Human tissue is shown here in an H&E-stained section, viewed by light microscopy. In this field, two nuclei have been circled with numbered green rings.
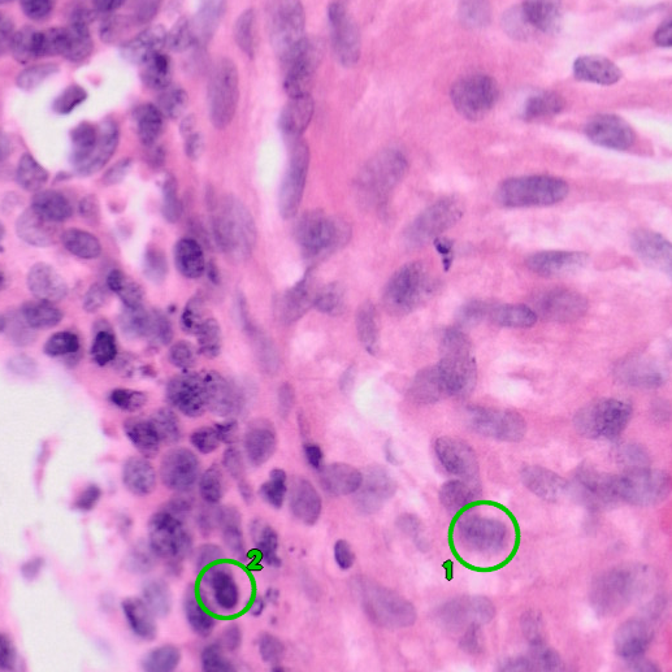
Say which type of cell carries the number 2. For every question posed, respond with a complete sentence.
The marked nucleus 2 is that of a carcinoma cell.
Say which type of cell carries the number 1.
The one numbered 1 among the marked cells is a fibroblast.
